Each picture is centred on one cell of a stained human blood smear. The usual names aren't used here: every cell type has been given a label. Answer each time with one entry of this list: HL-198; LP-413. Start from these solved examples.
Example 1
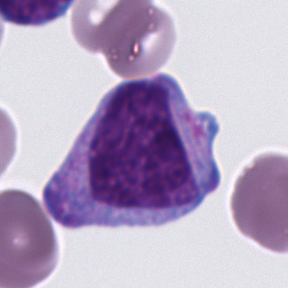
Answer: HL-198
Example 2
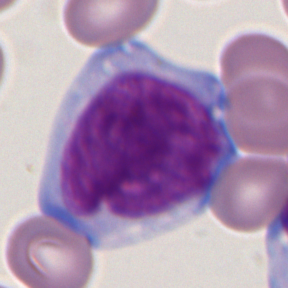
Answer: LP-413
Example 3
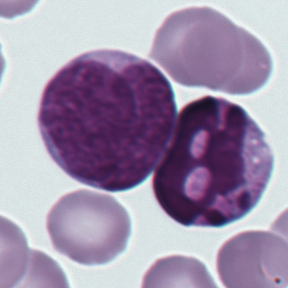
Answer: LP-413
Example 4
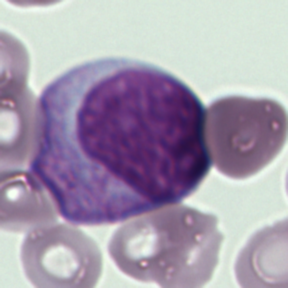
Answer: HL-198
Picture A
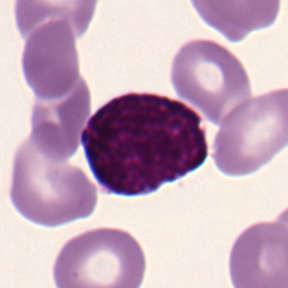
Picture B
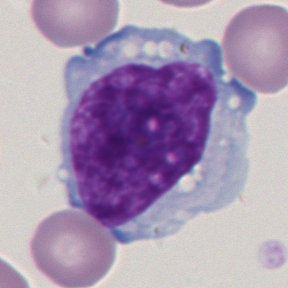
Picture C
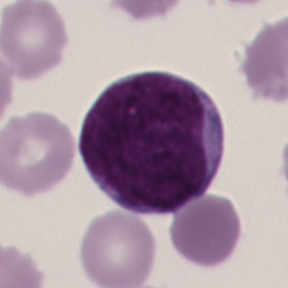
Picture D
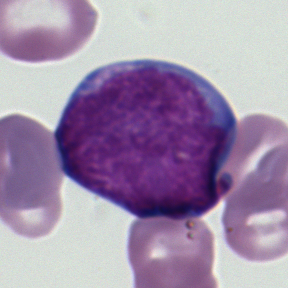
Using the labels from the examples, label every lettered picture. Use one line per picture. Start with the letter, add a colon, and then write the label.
A: LP-413
B: LP-413
C: LP-413
D: LP-413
